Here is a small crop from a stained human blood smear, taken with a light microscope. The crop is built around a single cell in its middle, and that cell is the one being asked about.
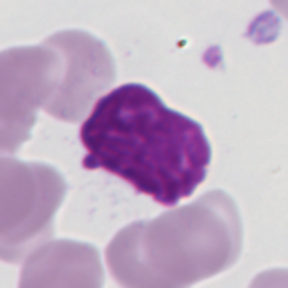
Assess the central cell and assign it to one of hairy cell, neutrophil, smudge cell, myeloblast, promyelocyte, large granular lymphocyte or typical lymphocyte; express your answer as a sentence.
This crop is built around a smudge cell at its centre.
